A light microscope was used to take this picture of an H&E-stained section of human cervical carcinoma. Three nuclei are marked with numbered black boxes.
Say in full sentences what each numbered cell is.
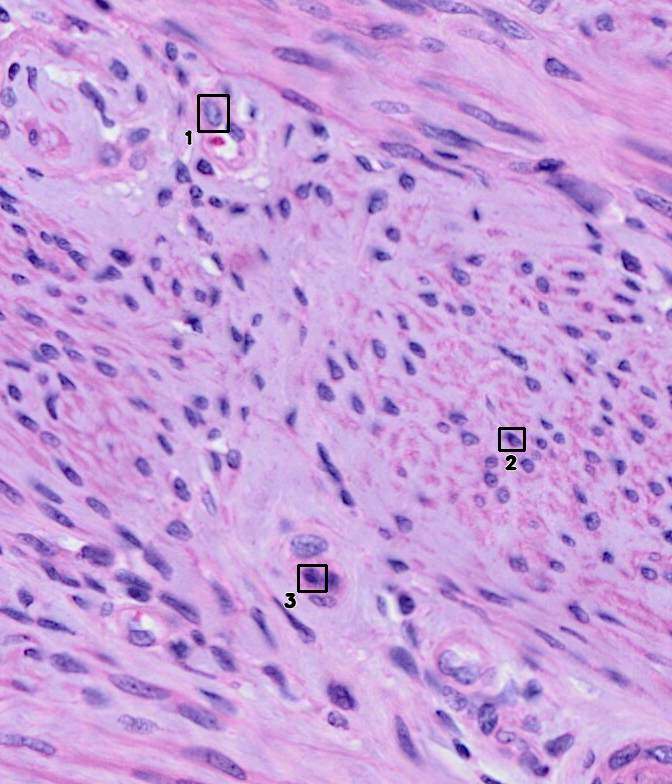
Cell 1 is an endothelial cell, cell 2 is a smooth muscle cell and cell 3 is an endothelial cell.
